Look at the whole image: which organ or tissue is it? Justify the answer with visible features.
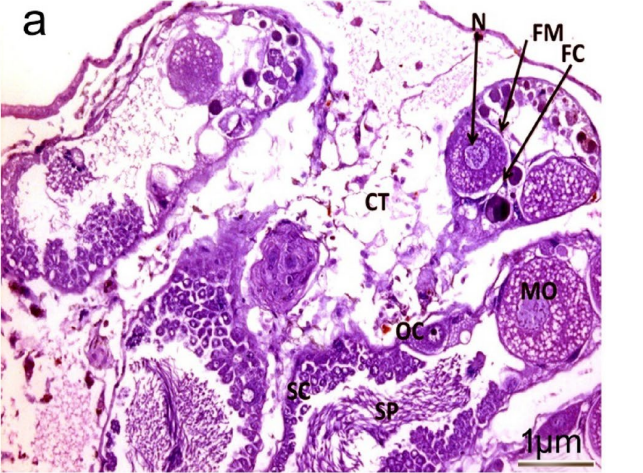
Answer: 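Acini contain both large round egg cells with big nuclei and clusters of small dark round cells. Bundles of thread-like cells fill acinar lumina. Loose connective tissue lies between the acini.
Conclusion: hermaphrodite gland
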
